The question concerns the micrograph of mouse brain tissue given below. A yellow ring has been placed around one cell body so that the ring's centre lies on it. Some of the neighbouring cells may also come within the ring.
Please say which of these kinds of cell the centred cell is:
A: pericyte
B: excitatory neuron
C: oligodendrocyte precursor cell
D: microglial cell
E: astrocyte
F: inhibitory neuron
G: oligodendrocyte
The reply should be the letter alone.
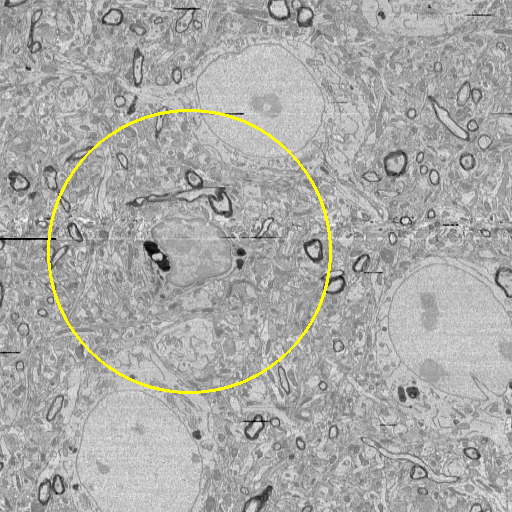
D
